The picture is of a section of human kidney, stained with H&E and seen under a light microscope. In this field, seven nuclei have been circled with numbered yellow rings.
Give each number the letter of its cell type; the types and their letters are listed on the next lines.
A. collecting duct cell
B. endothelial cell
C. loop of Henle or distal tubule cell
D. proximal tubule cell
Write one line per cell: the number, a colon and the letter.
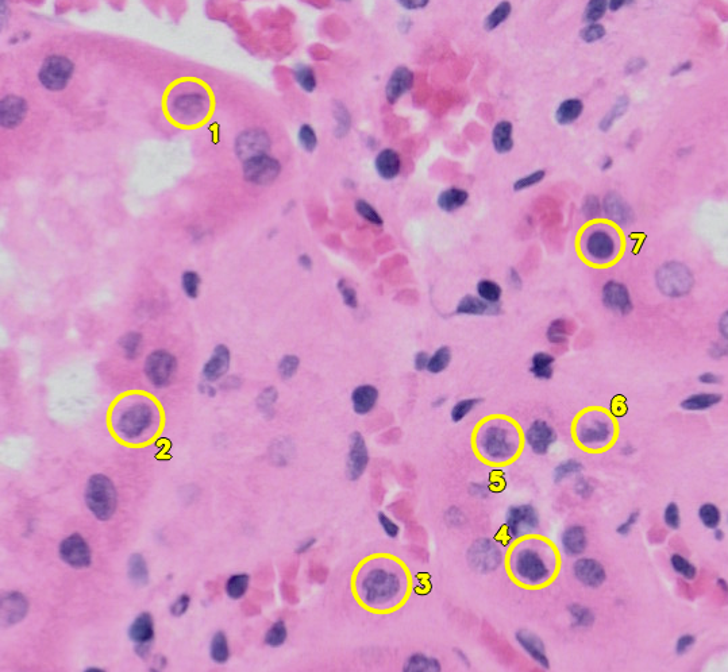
1: D
2: D
3: D
4: C
5: C
6: C
7: D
